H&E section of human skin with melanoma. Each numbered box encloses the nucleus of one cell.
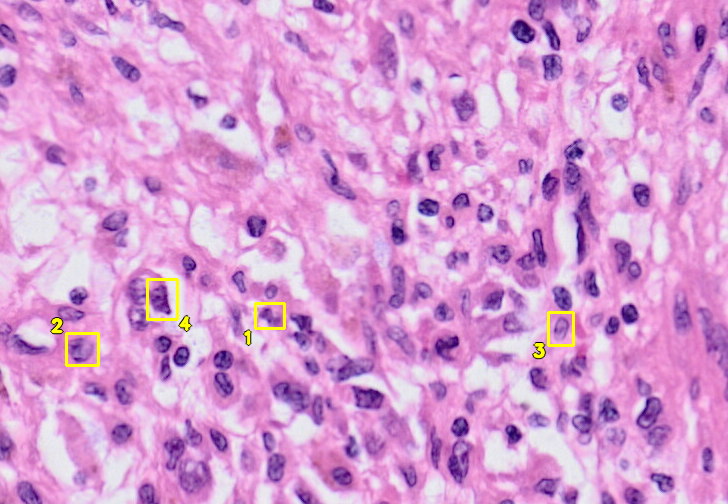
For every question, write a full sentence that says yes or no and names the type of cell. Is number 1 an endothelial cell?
No, calling cell 1 an endothelial cell is a mistake; it is a fibroblast or myofibroblast.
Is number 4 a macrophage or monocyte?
No, cell 4 is classified as a melanoma cell rather than a macrophage or monocyte.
